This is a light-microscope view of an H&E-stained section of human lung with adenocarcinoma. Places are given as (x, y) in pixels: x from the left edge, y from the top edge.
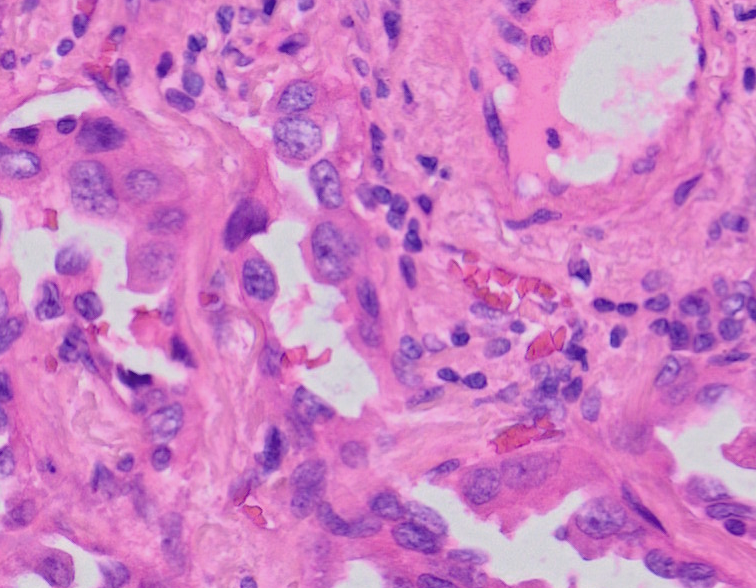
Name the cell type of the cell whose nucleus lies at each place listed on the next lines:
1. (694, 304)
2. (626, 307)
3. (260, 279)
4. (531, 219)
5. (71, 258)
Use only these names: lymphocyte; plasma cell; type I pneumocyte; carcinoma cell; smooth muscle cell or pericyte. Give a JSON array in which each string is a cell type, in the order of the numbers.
["plasma cell", "lymphocyte", "carcinoma cell", "smooth muscle cell or pericyte", "carcinoma cell"]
